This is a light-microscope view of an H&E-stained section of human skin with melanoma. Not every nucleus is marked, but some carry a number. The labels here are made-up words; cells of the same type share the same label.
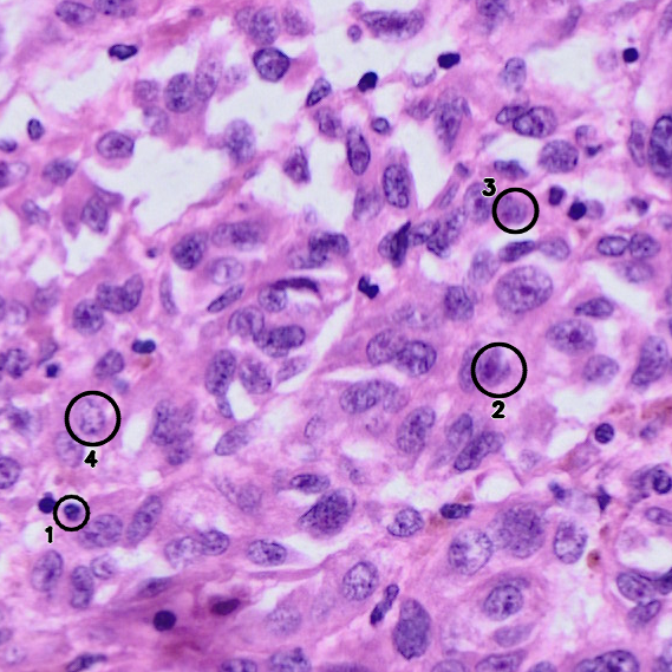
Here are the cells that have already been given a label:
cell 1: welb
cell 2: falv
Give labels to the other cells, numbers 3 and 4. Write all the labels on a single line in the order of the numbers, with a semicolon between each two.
falv; falv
